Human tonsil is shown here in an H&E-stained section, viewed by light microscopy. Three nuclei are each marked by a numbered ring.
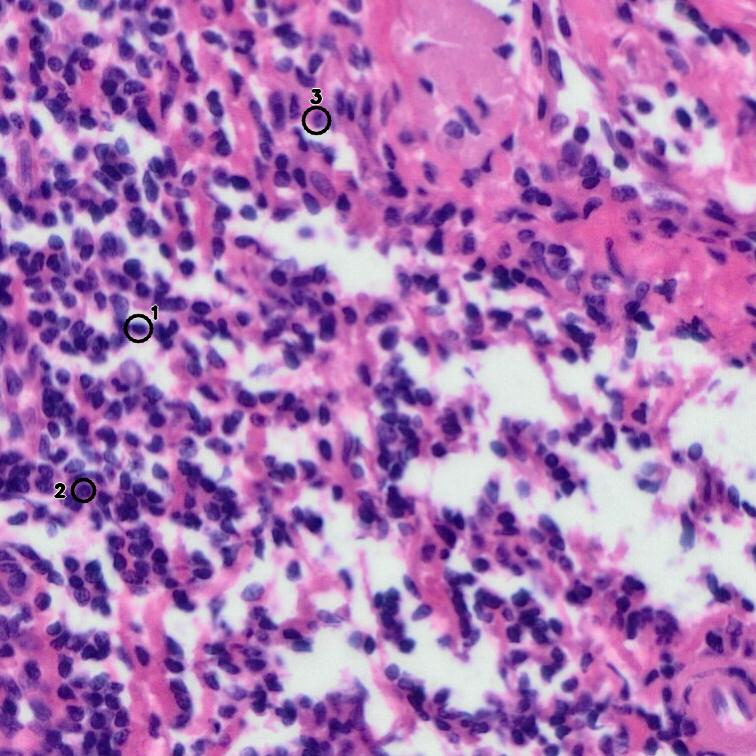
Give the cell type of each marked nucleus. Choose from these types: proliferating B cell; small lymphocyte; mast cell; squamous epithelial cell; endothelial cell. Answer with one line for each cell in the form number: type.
1: small lymphocyte
2: small lymphocyte
3: endothelial cell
